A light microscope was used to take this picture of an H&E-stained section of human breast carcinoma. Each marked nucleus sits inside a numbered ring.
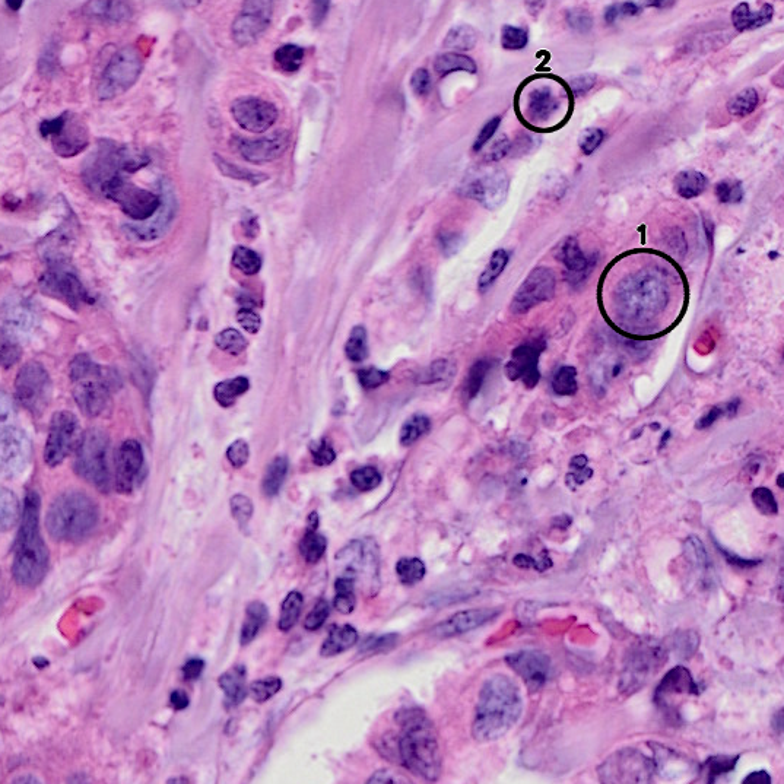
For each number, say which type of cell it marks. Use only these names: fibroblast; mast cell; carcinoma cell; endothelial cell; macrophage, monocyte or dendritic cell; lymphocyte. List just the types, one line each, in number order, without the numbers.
carcinoma cell
lymphocyte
